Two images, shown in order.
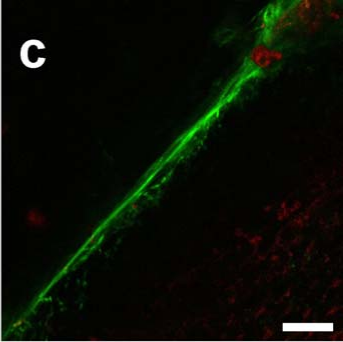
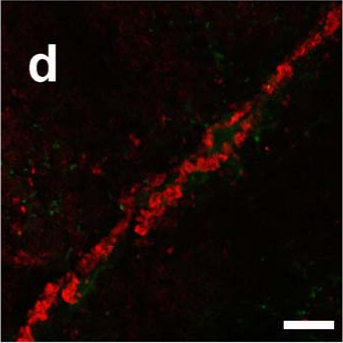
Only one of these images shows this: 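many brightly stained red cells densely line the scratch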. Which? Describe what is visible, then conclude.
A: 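Second image: a dense diagonal row of bright red rounded cells lines the scratch. First image: the scratch is marked by a green band with only a few red spots along it. That points to this answer: the second image.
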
